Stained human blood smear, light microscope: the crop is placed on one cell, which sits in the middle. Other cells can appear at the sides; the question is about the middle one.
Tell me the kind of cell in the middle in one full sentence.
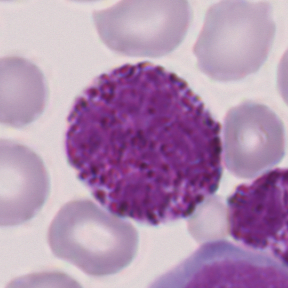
This crop is built around a basophil at its centre.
